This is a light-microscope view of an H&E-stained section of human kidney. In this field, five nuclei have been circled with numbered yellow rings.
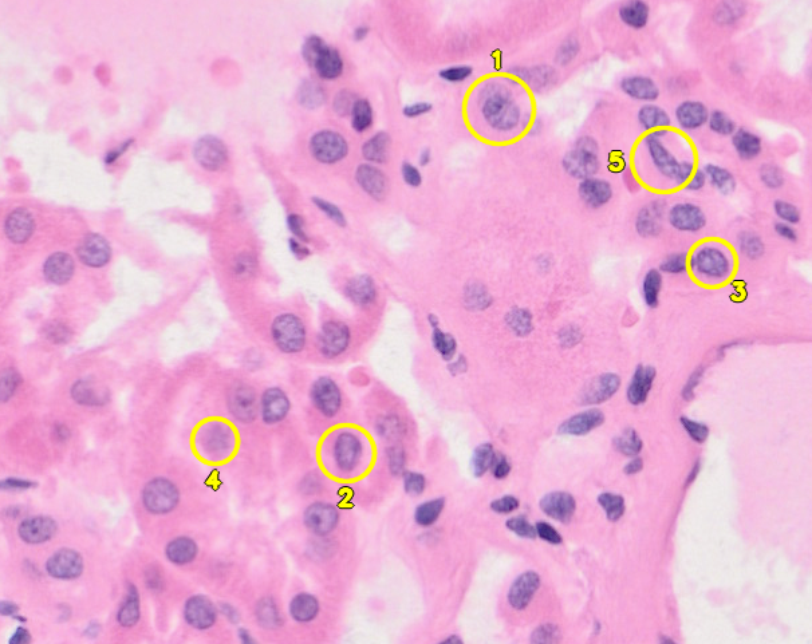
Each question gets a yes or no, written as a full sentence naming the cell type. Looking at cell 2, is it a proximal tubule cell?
Yes, of the numbered cells, number 2 is a proximal tubule cell.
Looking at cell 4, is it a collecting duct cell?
No, number 4 does not mark a collecting duct cell; it marks a proximal tubule cell.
